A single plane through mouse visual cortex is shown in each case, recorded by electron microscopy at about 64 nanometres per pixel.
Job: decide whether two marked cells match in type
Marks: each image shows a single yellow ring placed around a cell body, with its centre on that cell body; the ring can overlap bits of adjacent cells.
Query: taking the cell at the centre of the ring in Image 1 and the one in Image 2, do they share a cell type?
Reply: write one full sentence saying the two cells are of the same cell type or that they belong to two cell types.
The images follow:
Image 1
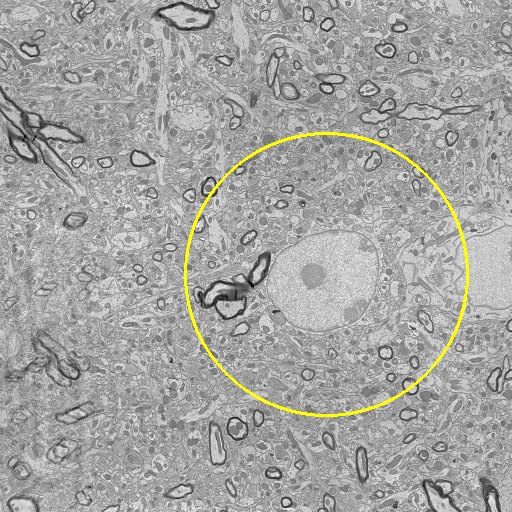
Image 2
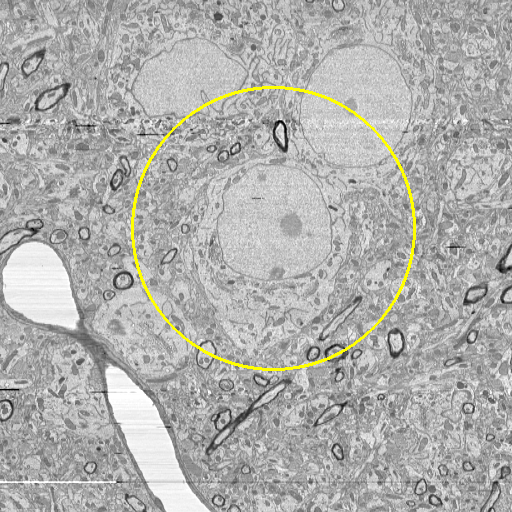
The cells at the ring centres in Image 1 and Image 2 belong to two cell types.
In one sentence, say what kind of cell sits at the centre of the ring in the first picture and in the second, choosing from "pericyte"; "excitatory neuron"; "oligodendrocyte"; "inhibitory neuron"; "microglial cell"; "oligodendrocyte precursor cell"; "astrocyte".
The first picture's ringed cell is an astrocyte, while the second picture's is an excitatory neuron.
